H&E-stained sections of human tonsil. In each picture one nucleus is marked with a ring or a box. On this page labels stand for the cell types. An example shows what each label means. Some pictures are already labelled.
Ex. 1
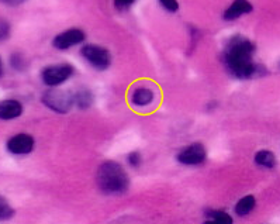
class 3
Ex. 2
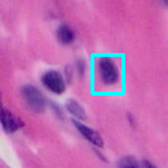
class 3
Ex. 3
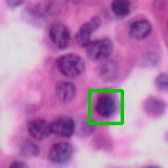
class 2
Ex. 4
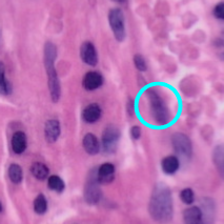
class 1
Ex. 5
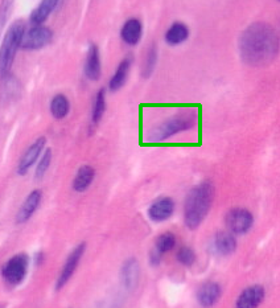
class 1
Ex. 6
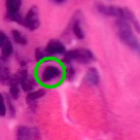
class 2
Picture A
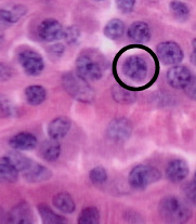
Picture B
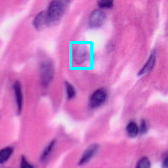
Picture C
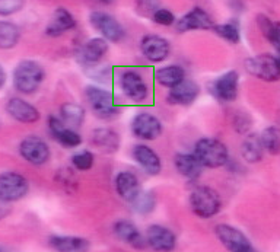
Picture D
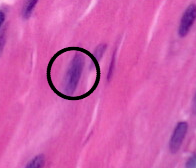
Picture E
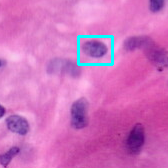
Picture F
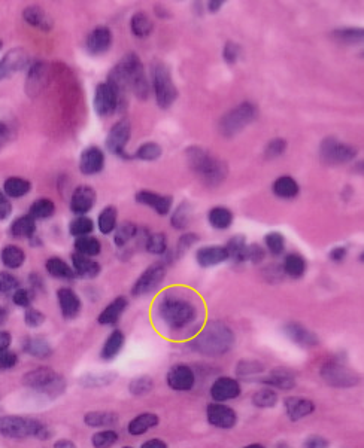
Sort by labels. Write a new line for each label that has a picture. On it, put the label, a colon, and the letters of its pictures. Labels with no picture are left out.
class 3: E
class 2: A, C
class 1: B, D, F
